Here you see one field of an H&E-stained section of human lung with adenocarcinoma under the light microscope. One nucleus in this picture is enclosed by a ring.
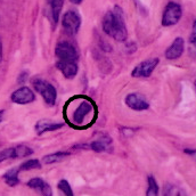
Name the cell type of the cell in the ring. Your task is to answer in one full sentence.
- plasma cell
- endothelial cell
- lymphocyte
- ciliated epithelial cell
Cell type answer for this item: the cell in the ring is a plasma cell.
